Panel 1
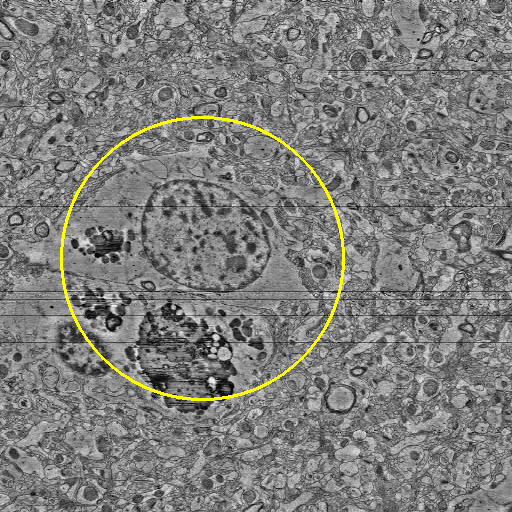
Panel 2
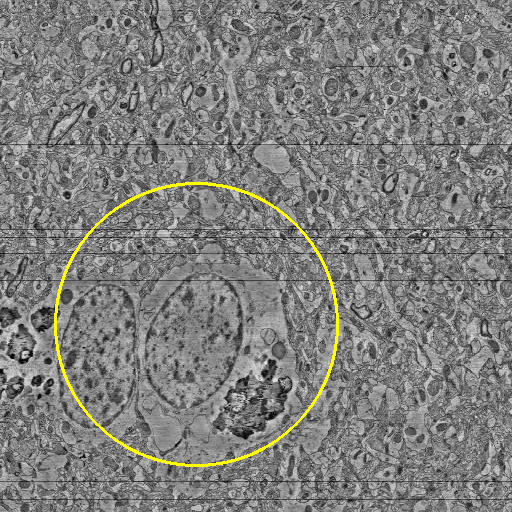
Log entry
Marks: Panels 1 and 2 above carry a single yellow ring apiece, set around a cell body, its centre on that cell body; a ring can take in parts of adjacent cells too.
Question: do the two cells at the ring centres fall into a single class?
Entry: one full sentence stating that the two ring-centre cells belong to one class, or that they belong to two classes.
The two ring-centre cells in Panels 1 and 2 belong to one class.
